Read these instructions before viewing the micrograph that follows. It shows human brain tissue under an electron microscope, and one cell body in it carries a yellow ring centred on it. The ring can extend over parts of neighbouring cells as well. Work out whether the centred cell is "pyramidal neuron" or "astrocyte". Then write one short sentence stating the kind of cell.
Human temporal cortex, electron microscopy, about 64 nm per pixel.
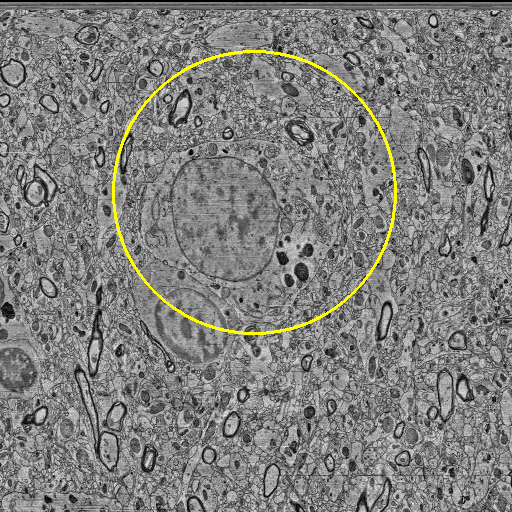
The ringed cell is a pyramidal neuron.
